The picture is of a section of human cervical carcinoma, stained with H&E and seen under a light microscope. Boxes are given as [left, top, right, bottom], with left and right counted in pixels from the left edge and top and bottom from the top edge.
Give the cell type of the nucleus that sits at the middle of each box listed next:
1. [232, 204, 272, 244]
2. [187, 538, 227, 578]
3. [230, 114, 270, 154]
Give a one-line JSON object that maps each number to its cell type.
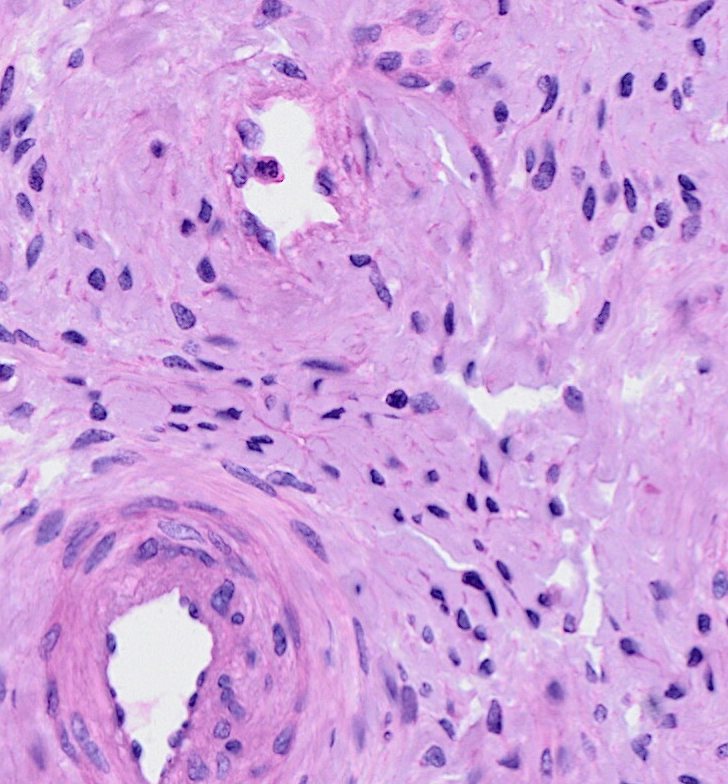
{"1": "endothelial cell", "2": "smooth muscle cell", "3": "endothelial cell"}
